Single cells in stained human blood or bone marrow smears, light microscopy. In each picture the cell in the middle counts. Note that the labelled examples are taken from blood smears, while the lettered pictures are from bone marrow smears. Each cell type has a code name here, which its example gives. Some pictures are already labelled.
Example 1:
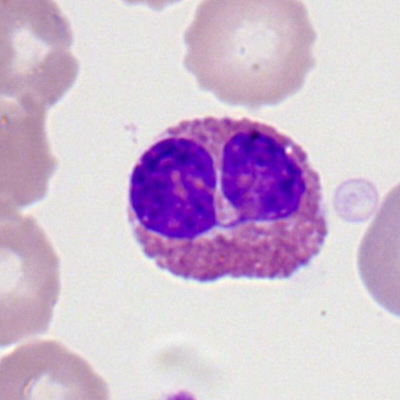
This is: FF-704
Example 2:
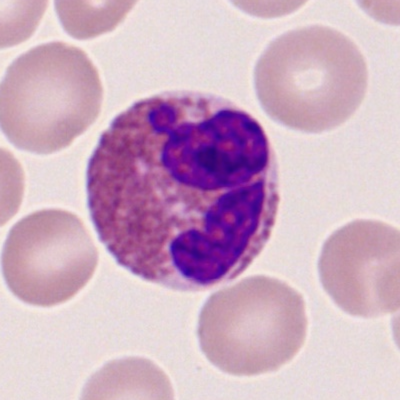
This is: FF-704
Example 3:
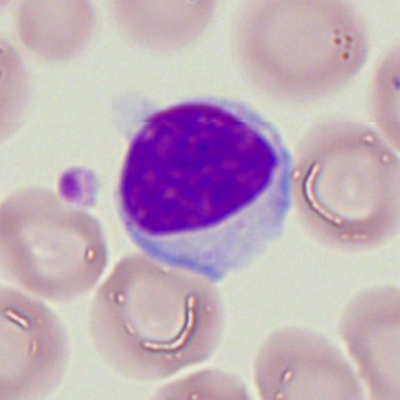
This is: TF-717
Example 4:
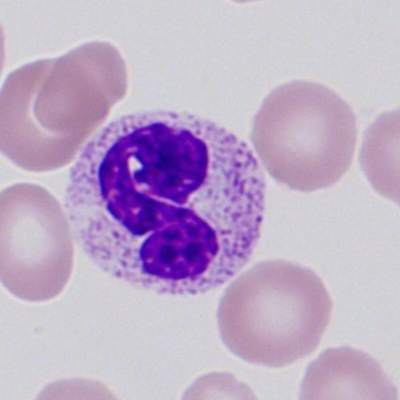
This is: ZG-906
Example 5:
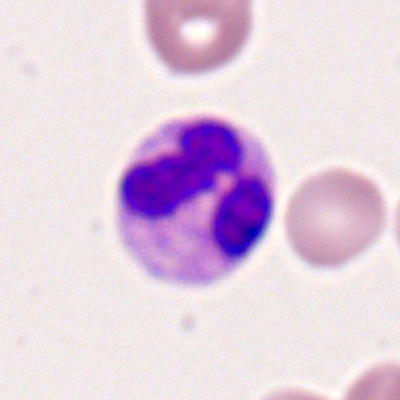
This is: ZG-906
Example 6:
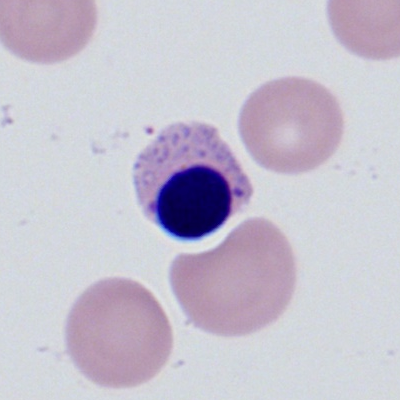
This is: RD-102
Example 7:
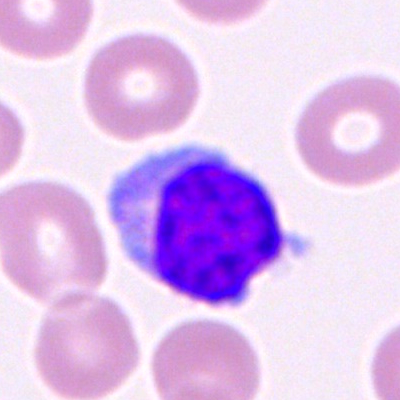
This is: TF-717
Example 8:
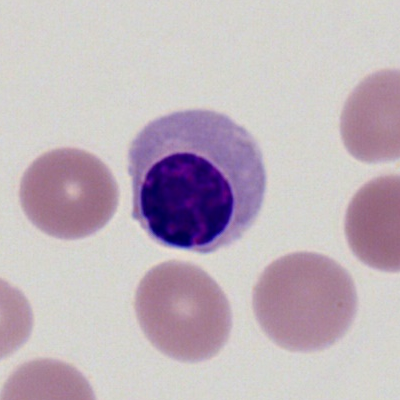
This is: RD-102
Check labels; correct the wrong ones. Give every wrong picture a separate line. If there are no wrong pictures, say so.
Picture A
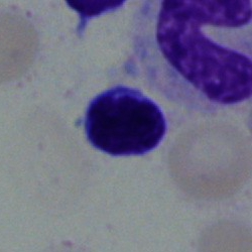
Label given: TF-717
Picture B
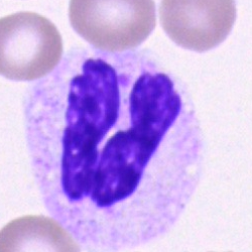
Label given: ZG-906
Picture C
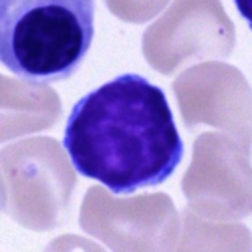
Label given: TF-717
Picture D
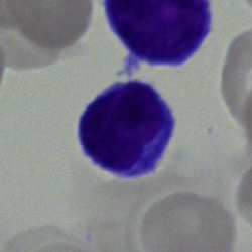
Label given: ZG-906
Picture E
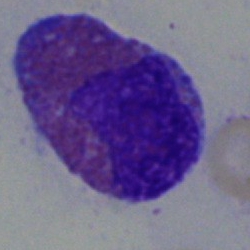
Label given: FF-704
D is labelled ZG-906; correct label: TF-717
